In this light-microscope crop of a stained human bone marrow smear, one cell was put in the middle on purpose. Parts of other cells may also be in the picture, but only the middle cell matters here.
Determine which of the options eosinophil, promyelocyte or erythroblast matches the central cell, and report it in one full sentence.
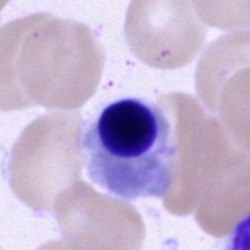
Positioned in the middle of the crop is an erythroblast.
